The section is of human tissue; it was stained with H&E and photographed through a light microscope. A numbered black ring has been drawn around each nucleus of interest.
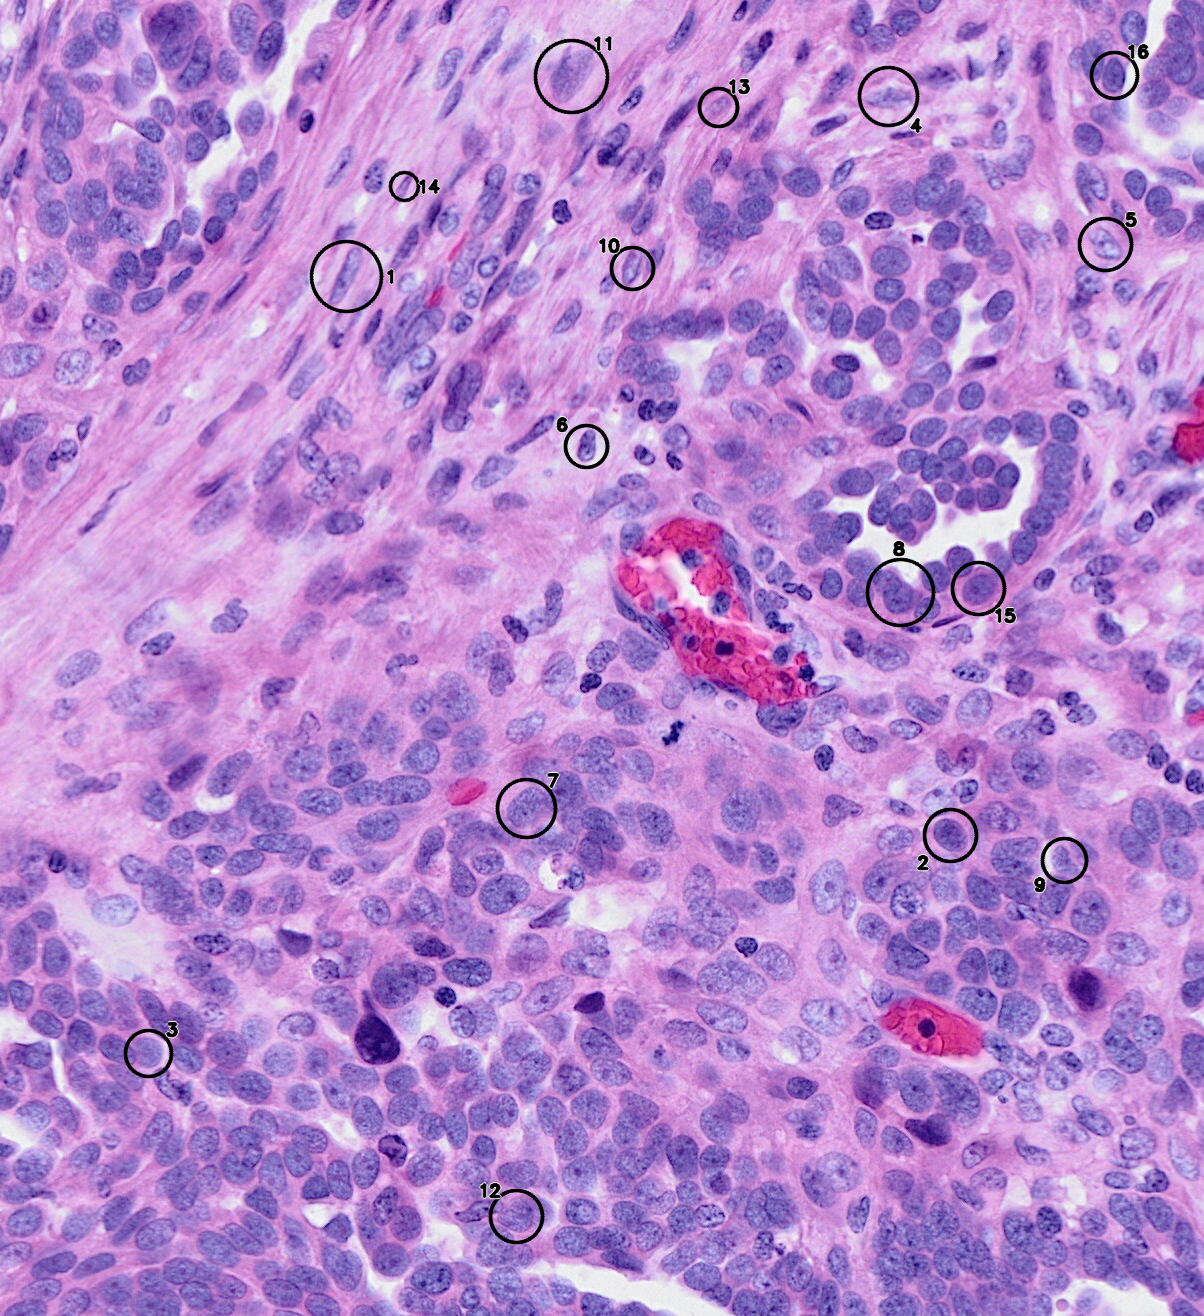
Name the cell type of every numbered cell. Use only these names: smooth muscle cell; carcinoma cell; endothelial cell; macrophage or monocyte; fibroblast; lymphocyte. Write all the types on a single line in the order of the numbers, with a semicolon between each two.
fibroblast; carcinoma cell; carcinoma cell; fibroblast; fibroblast; lymphocyte; carcinoma cell; carcinoma cell; carcinoma cell; fibroblast; fibroblast; carcinoma cell; fibroblast; fibroblast; carcinoma cell; carcinoma cell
